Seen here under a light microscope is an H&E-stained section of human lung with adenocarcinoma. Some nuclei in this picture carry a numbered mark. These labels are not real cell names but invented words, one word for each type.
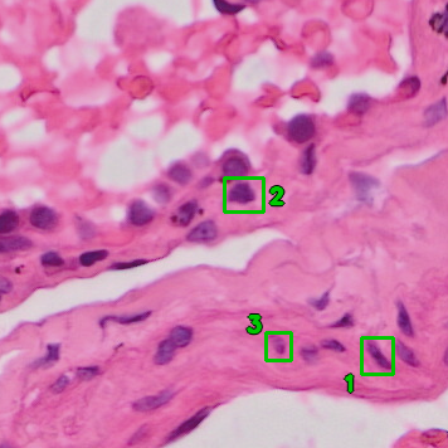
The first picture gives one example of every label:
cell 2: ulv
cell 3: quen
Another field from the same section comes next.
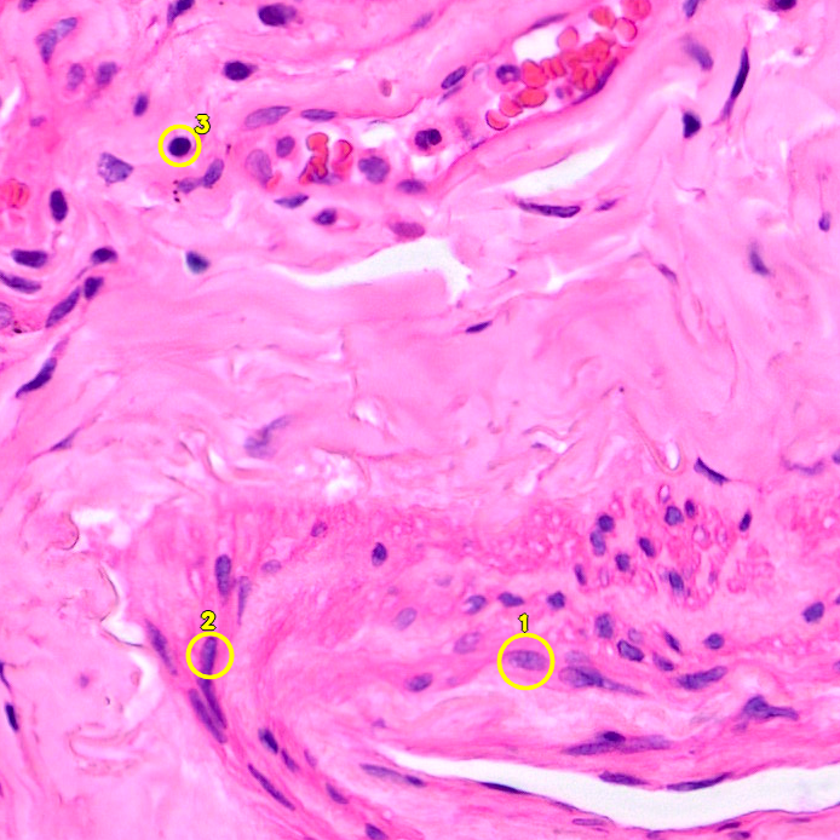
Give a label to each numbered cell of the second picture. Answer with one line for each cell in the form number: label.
1: quen
2: quen
3: ulv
